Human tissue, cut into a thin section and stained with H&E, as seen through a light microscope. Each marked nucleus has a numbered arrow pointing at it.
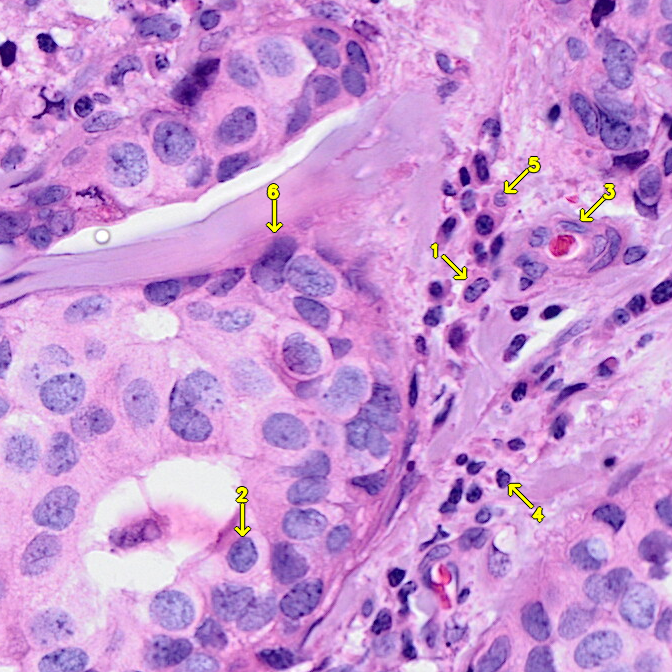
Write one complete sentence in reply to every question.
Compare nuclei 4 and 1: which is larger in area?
Number 1 is larger; its area is about 1.5 times that of number 4.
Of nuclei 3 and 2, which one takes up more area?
Nucleus 2 covers more area, about 3 times as much as nucleus 3.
